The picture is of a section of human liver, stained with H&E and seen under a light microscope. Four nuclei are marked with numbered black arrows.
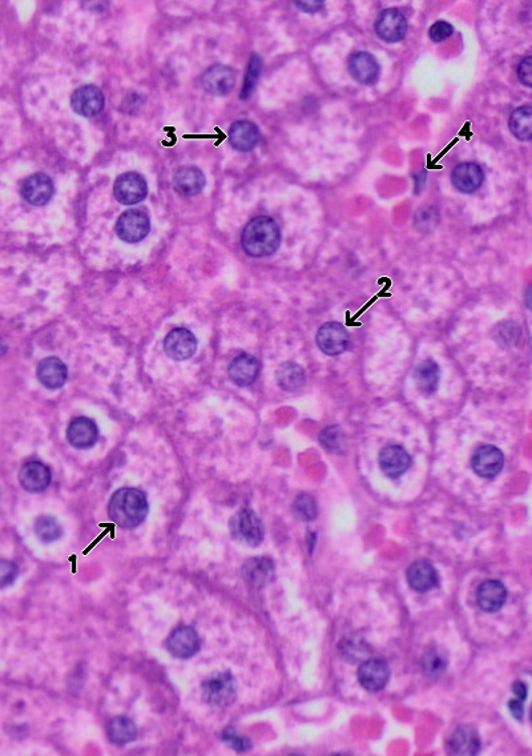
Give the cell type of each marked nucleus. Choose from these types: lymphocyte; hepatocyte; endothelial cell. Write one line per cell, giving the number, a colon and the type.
1: hepatocyte
2: hepatocyte
3: hepatocyte
4: endothelial cell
